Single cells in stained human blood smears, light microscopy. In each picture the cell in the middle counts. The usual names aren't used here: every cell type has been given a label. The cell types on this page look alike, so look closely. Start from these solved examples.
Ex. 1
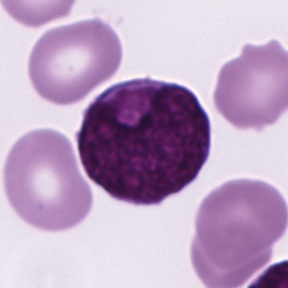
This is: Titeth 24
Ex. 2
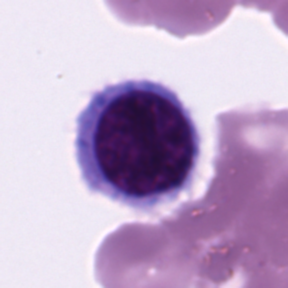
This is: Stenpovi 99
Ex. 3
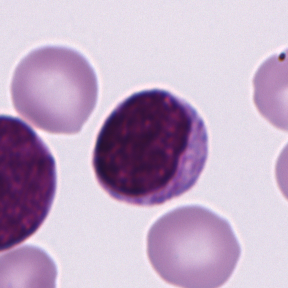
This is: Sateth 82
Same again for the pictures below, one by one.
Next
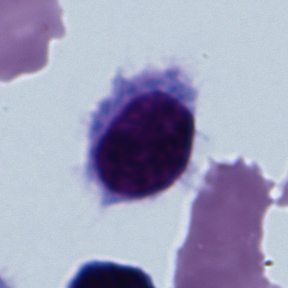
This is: Stenpovi 99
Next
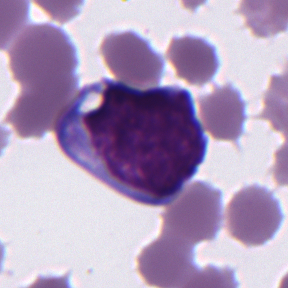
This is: Sateth 82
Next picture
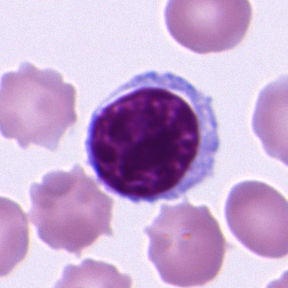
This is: Sateth 82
